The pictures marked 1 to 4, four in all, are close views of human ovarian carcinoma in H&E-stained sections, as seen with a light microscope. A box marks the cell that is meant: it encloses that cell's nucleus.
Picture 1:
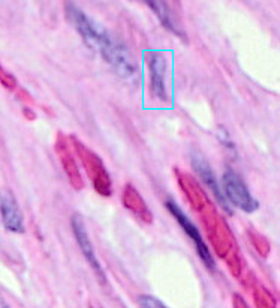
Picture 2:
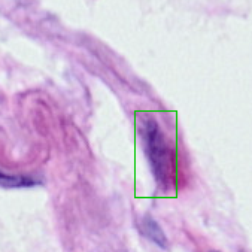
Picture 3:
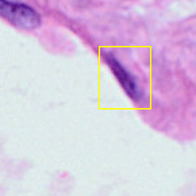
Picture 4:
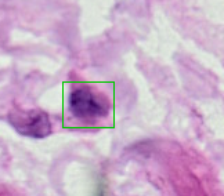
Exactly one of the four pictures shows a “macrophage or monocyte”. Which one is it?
4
